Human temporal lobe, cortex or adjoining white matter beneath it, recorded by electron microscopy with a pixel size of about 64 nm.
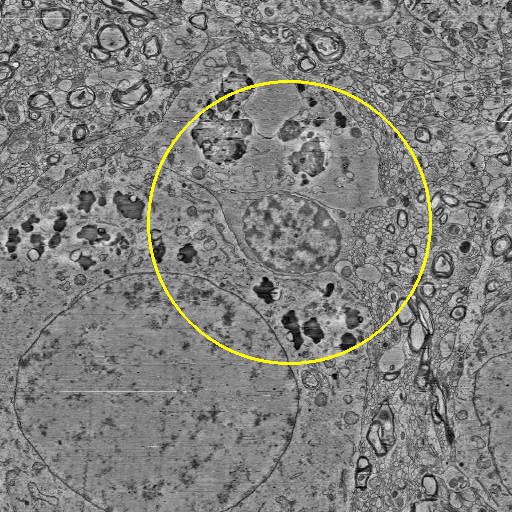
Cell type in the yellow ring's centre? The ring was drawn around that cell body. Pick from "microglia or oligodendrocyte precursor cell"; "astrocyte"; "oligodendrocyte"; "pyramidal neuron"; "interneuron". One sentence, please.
The ringed cell body is that of an oligodendrocyte.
